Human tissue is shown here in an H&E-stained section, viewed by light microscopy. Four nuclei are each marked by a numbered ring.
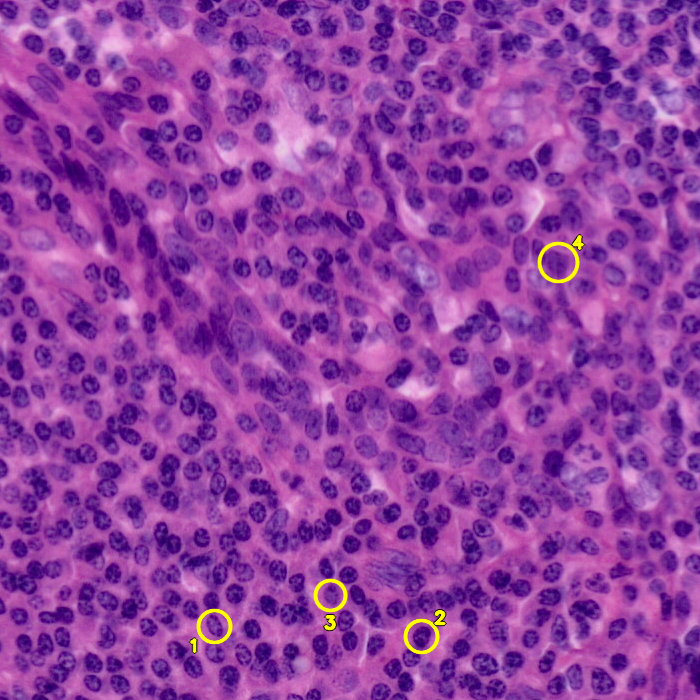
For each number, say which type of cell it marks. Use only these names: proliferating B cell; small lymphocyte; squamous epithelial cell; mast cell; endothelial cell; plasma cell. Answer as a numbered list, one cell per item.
1. plasma cell
2. plasma cell
3. plasma cell
4. squamous epithelial cell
